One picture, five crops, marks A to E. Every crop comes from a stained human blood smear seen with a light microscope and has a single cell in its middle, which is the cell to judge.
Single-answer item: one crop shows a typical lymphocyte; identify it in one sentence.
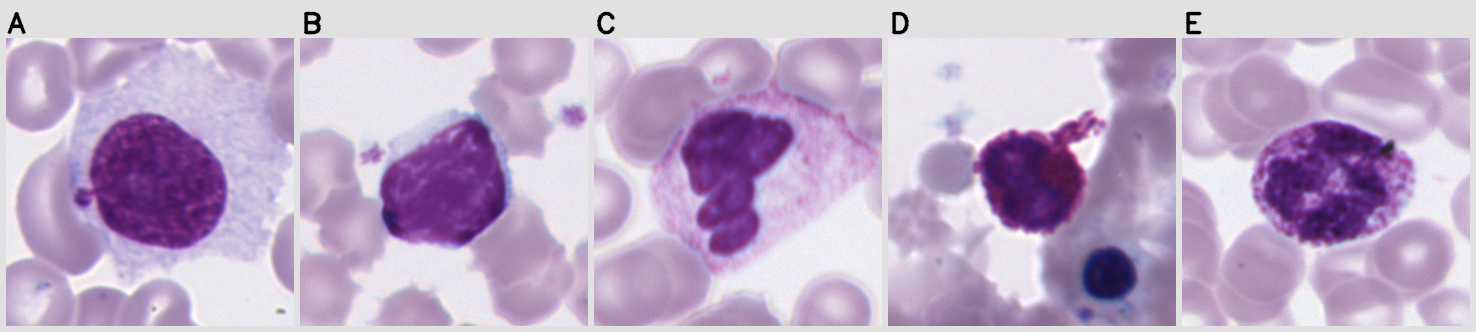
Among the crops, only crop B contains a typical lymphocyte.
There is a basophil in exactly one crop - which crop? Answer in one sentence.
Crop E, of the crops presented, is the one showing a basophil.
